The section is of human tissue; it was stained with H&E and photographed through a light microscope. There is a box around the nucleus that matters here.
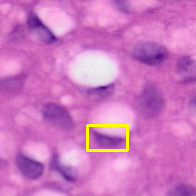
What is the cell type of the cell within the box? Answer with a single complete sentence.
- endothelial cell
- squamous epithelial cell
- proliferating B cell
By its classification, the cell within the box is a squamous epithelial cell.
